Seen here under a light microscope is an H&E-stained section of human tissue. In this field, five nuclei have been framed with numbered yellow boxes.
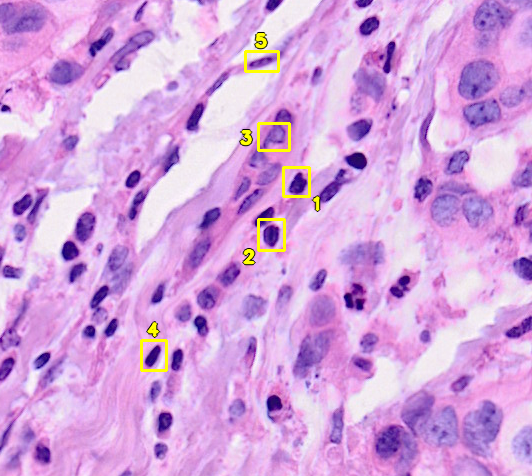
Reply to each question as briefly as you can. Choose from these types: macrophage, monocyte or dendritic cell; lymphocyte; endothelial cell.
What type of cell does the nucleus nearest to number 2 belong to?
lymphocyte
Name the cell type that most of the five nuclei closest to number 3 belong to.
endothelial cell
